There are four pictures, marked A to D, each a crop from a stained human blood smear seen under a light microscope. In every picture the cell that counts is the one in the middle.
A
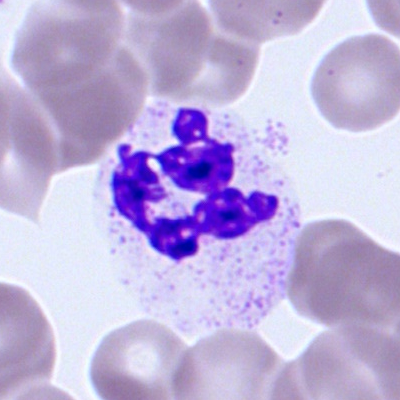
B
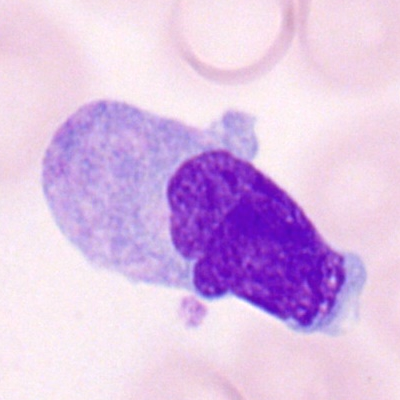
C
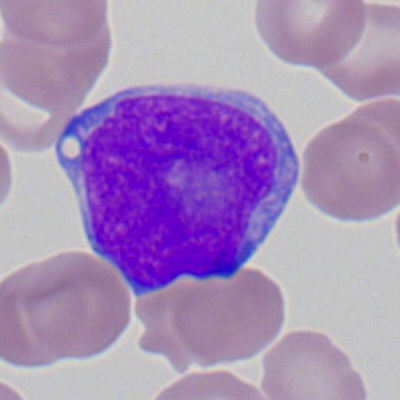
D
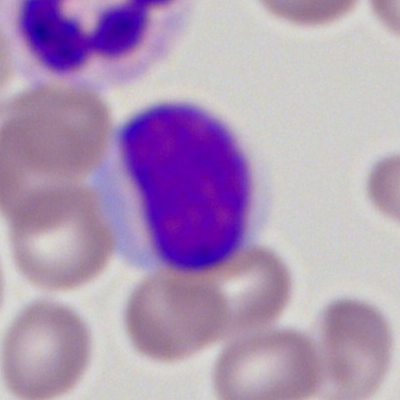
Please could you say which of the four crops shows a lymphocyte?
D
